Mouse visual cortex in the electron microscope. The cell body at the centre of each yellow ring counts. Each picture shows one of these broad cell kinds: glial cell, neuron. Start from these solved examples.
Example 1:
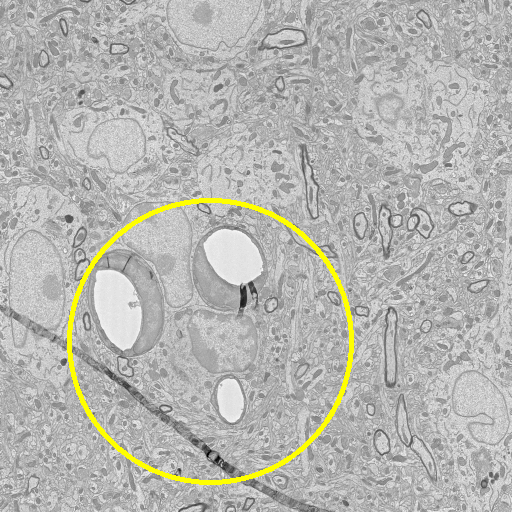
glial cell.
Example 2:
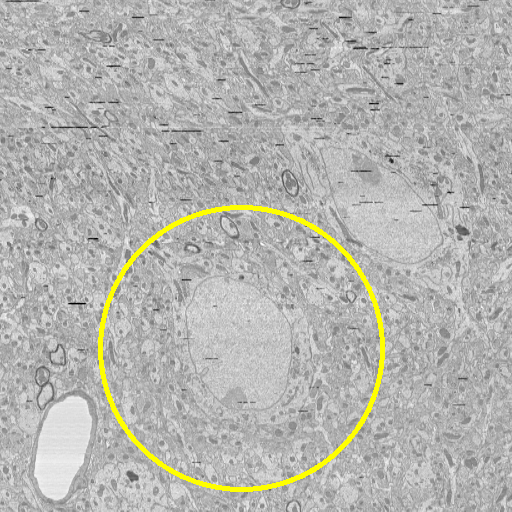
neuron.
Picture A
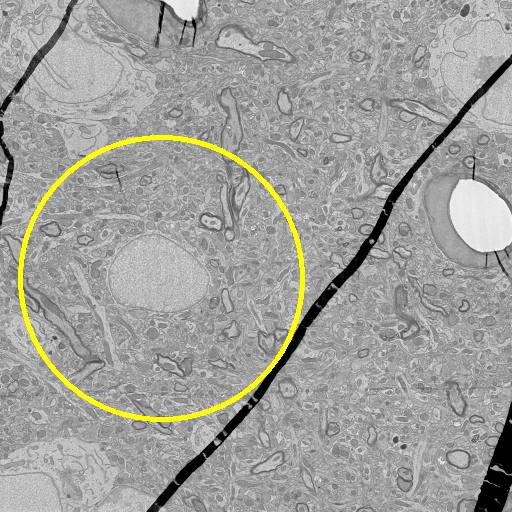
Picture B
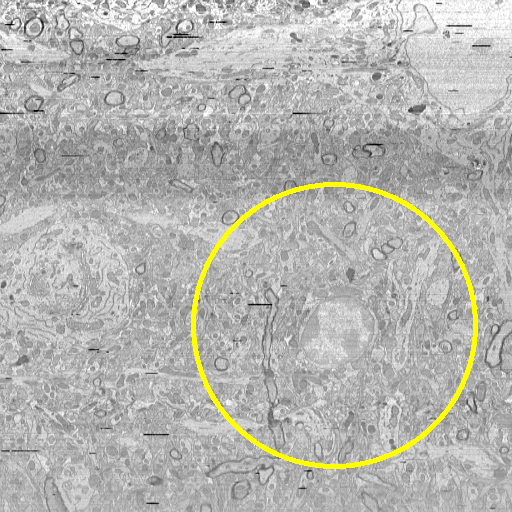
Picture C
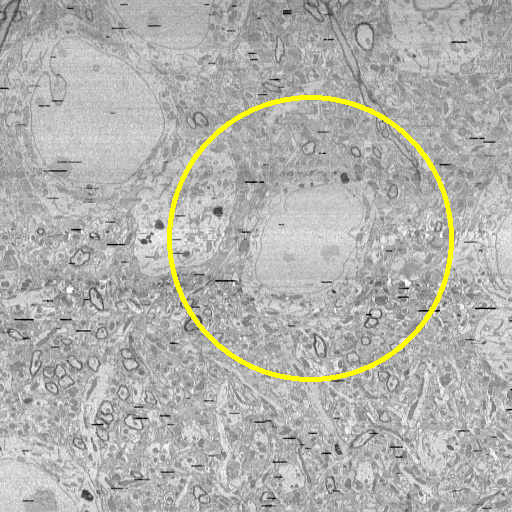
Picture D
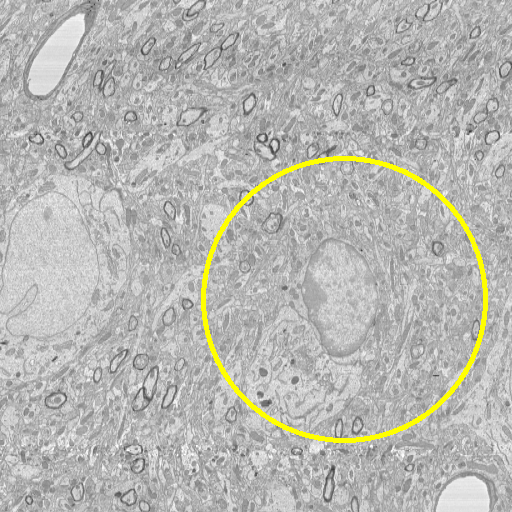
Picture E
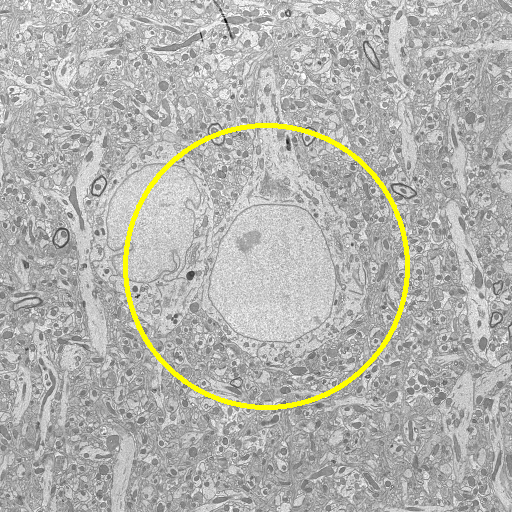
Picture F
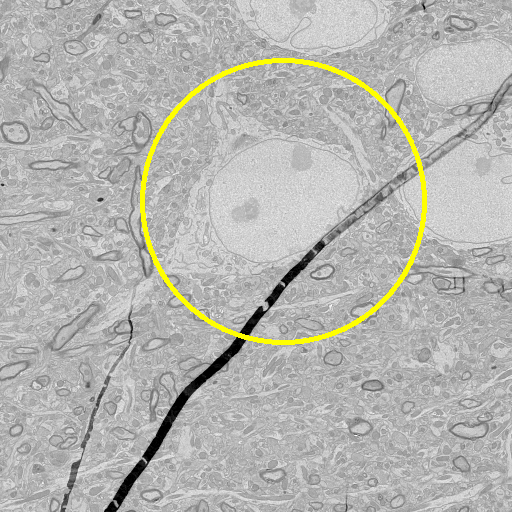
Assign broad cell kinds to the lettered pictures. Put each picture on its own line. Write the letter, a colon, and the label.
A: glial cell.
B: glial cell.
C: neuron.
D: glial cell.
E: neuron.
F: neuron.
